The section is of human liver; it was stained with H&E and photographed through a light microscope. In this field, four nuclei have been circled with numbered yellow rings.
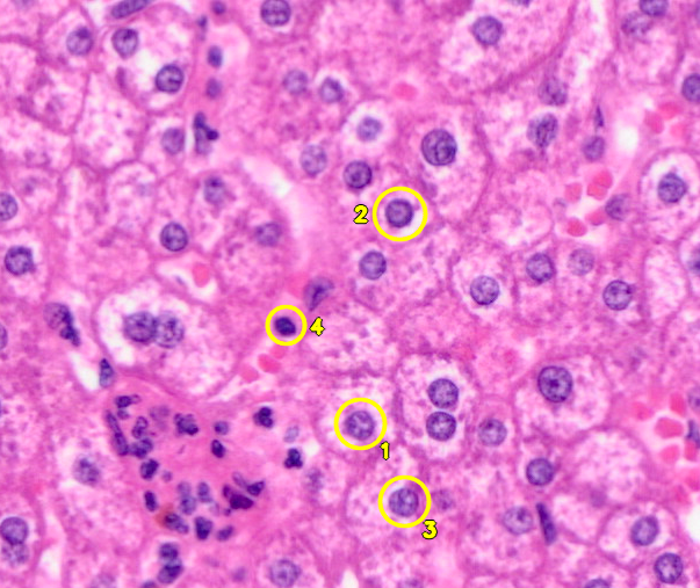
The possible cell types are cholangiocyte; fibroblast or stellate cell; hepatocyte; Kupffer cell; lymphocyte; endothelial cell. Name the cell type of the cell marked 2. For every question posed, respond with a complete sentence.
The cell bearing label 2 corresponds to a hepatocyte.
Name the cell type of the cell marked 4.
In this section, the cell numbered 4 is a lymphocyte.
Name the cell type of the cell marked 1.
The cell bearing label 1 corresponds to a hepatocyte.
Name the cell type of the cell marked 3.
The cell marked with the number 3 is a hepatocyte.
